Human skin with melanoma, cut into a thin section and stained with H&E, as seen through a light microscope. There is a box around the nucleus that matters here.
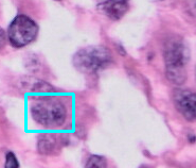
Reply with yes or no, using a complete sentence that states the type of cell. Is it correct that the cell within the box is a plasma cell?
No, by cell type the cell within the box is a melanoma cell, not a plasma cell.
